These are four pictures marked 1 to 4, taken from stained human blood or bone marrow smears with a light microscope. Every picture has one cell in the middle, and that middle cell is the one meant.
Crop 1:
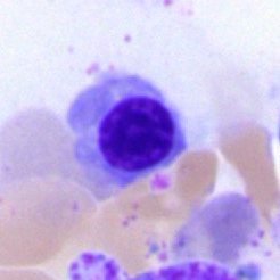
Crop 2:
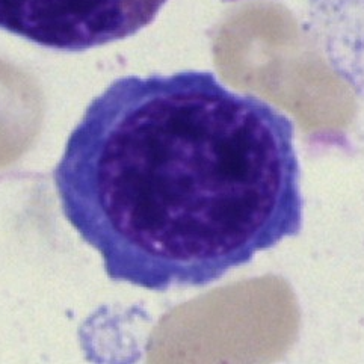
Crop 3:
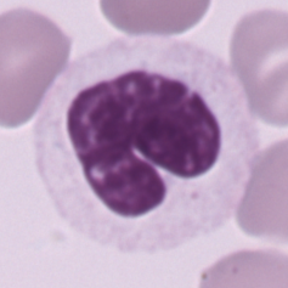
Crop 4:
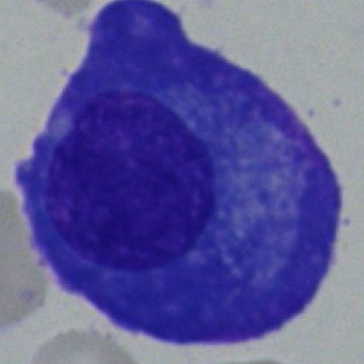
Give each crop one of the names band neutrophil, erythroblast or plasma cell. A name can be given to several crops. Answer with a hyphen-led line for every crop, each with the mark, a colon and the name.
- 1: erythroblast
- 2: erythroblast
- 3: band neutrophil
- 4: plasma cell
